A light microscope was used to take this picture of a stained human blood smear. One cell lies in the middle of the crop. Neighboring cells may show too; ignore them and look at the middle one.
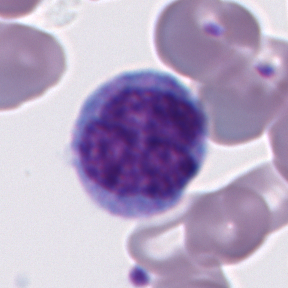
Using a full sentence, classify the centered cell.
The cell shown in the center of this light-microscope crop is a monocyte.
